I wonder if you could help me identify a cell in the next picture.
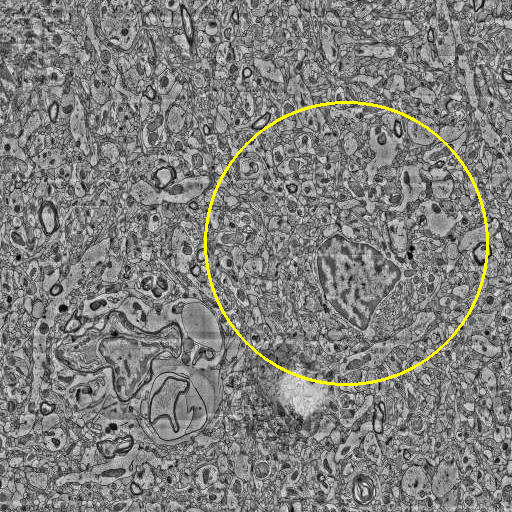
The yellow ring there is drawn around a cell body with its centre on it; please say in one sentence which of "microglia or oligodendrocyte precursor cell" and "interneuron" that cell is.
The yellow ring is centred on a microglial cell or oligodendrocyte precursor cell.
